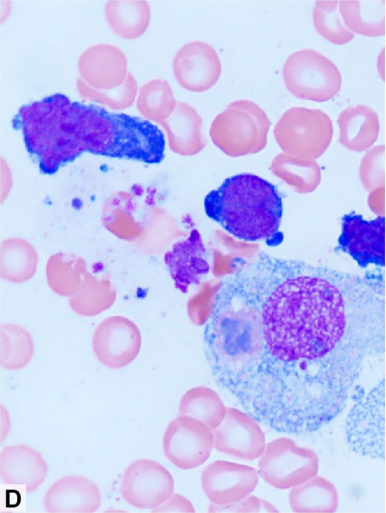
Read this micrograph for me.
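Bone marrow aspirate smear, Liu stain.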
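The histiocyte at the lower centre is large, with abundant pale grey-blue, finely vacuolated cytoplasm. Its round purple nucleus has coarse chromatin. At the upper left lies a distorted cell with deep blue cytoplasm. Scattered red blood cells and small purple fragments fill the rest of the field.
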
